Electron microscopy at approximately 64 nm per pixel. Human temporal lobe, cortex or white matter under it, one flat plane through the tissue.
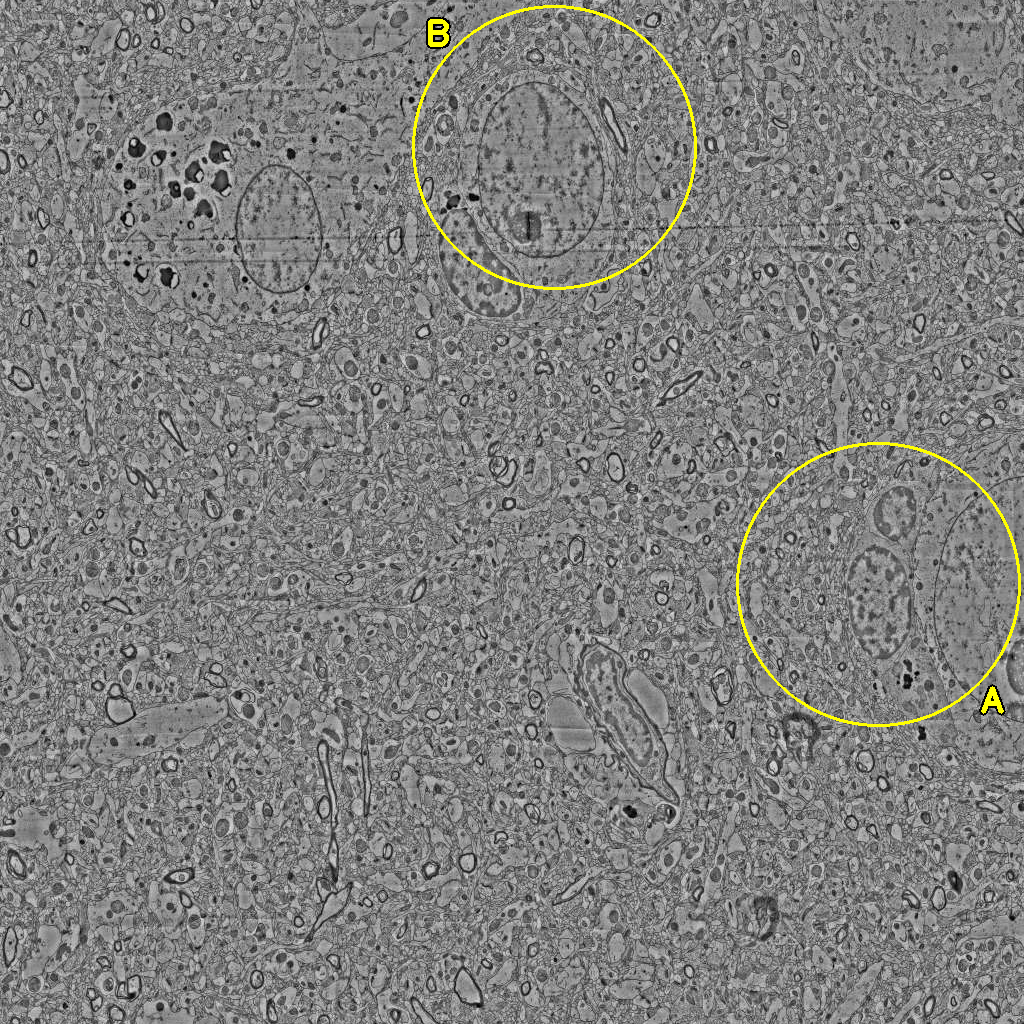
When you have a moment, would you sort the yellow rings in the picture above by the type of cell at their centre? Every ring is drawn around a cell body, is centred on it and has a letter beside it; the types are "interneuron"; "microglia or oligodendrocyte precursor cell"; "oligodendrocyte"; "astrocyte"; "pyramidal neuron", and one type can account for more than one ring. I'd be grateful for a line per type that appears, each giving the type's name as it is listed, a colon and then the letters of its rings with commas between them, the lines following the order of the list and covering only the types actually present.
oligodendrocyte: A
pyramidal neuron: B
